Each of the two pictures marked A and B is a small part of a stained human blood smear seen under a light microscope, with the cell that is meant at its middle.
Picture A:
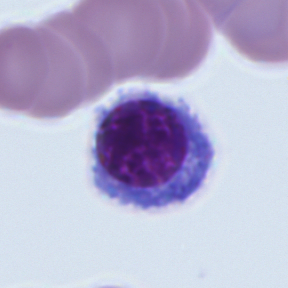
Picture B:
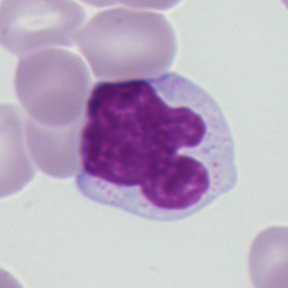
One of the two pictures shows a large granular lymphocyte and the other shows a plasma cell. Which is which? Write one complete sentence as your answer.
Picture B shows a large granular lymphocyte, while picture A shows a plasma cell.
